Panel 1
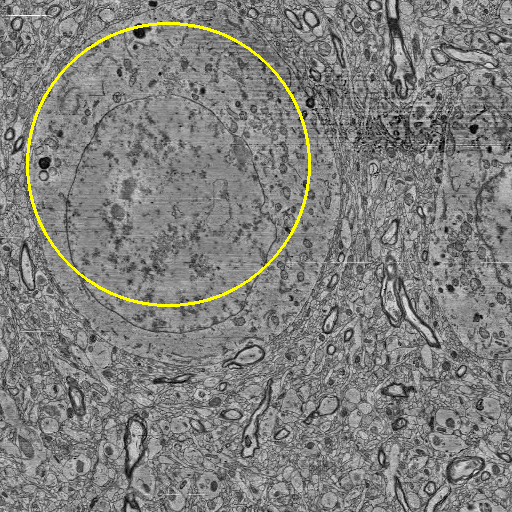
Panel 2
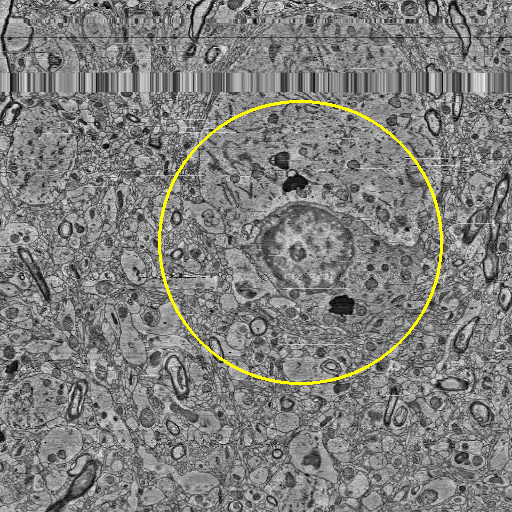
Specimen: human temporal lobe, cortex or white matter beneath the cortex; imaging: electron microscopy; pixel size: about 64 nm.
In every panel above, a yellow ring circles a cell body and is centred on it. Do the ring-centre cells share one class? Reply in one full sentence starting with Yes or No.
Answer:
No, the two cells at the ring centres in the panels belong to two classes.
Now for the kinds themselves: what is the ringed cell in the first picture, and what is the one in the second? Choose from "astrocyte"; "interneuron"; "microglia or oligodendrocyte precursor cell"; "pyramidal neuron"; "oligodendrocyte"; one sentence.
Here the first cell is a pyramidal neuron and the second cell is an oligodendrocyte.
